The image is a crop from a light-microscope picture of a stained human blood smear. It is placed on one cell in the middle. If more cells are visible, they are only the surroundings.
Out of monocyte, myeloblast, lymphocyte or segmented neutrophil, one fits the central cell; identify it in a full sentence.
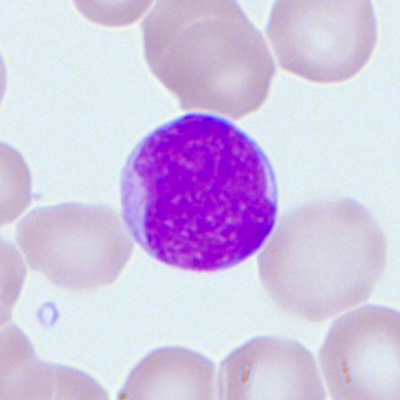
The single cell at the center of the crop is a myeloblast.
